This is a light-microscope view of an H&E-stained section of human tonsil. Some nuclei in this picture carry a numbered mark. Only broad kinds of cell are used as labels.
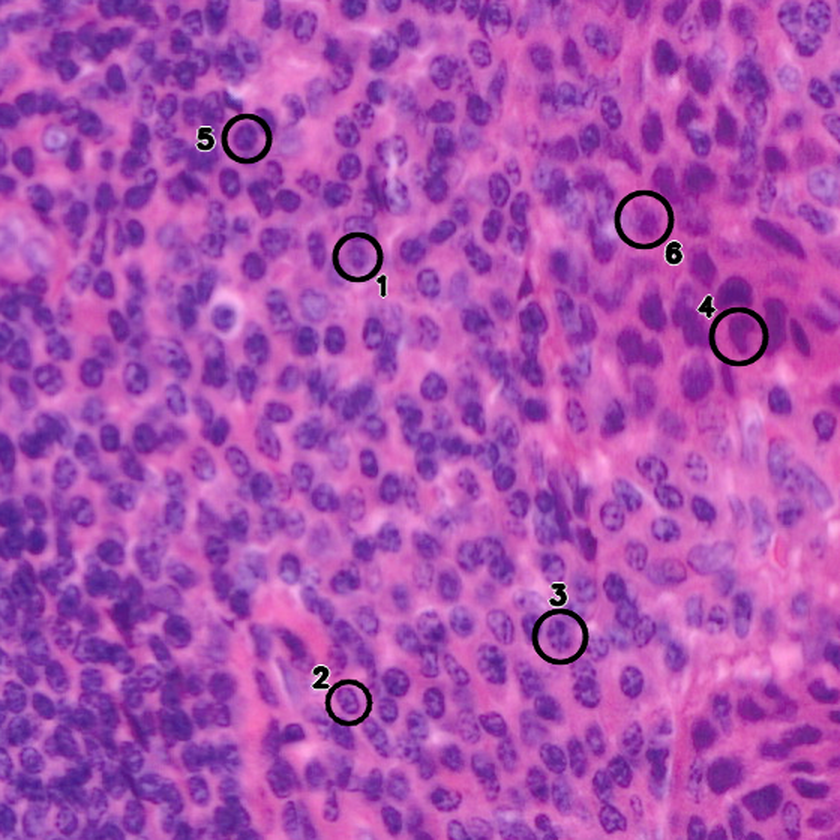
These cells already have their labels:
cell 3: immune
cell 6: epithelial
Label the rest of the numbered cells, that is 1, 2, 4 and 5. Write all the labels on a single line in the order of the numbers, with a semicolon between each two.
immune; immune; epithelial; immune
